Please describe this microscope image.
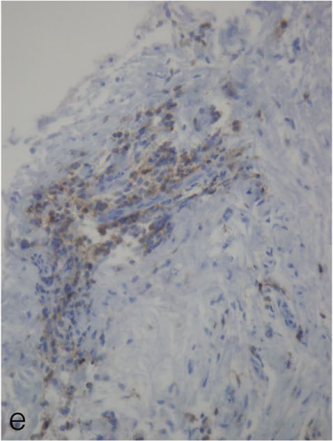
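The cells are small and round with blue nuclei and a thin brown-stained rim. They gather in an oblique strip across the left part of the field, with fewer scattered cells elsewhere. The surrounding stroma is loose and pale, with spindle-shaped cells and few stained cells.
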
